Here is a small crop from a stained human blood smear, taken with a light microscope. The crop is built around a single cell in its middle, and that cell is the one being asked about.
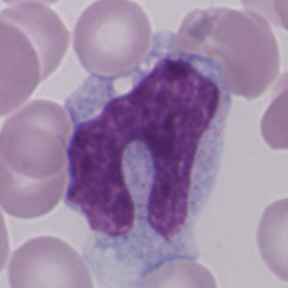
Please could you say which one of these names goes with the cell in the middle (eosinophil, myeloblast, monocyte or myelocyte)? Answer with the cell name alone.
monocyte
